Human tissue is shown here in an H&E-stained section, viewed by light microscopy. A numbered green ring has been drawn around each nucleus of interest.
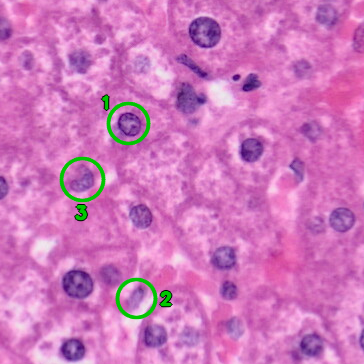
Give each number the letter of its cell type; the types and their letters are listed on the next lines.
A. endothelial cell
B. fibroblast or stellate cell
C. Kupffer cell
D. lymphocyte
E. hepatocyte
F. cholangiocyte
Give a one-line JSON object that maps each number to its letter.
{"1": "E", "2": "C", "3": "C"}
